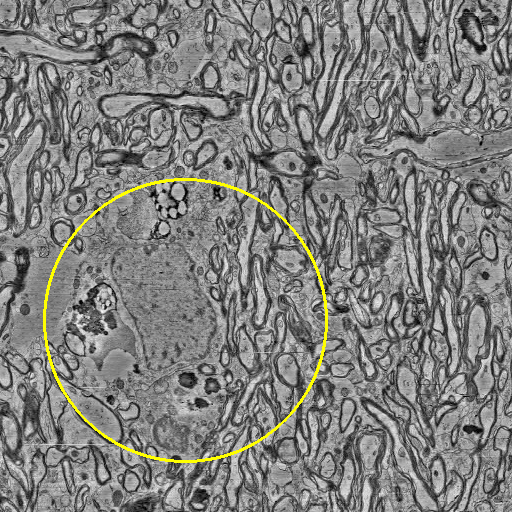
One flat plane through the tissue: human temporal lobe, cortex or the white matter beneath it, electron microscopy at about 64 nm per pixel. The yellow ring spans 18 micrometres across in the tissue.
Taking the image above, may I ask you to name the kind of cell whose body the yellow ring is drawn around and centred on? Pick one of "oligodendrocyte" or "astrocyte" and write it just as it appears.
astrocyte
